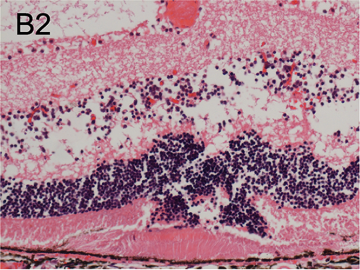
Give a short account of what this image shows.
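This is a retina in cross-section with disturbed layering. The inner retina is loose and spongy with many clear spaces and small vessels holding red blood cells, and the inner nuclear layer is broken up by clear gaps. Below, the pink outer segment band and the thin brown pigmented layer run along the bottom beneath the fold.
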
